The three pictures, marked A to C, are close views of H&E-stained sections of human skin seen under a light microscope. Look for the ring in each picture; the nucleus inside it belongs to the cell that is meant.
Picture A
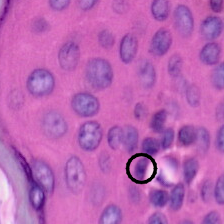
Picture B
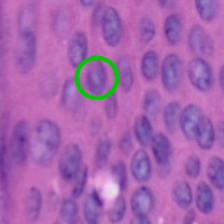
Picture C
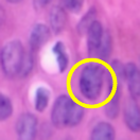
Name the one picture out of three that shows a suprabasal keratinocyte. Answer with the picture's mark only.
B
